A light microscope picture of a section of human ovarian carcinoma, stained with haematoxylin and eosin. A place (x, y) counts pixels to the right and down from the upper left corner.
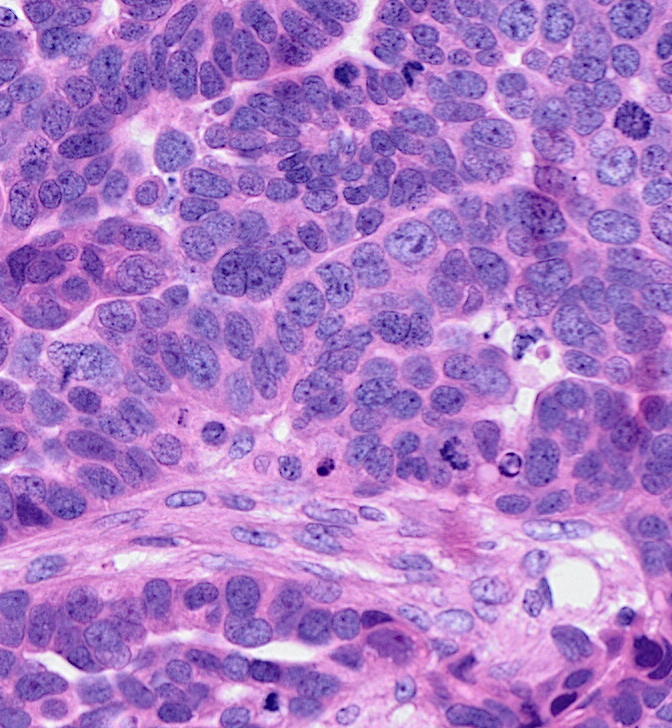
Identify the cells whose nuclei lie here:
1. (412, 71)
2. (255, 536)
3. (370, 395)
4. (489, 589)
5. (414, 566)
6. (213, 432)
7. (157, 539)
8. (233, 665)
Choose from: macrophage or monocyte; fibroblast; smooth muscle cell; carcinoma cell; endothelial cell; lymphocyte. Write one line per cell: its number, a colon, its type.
1: carcinoma cell
2: fibroblast
3: carcinoma cell
4: fibroblast
5: fibroblast
6: macrophage or monocyte
7: fibroblast
8: carcinoma cell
